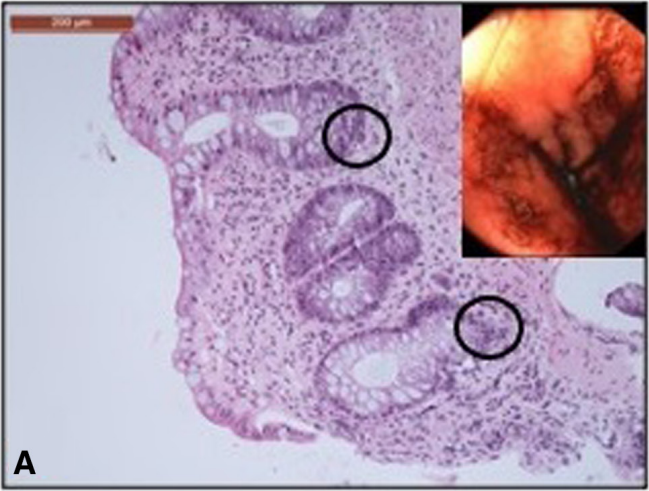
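This is colonic mucosa stained pink and purple, and its crypts are few, widely spaced and irregular in shape. Between them the lamina propria is crowded with small dark-nucleated cells. At the bases of some crypts the lining epithelium holds little clusters of dark, broken-up nuclear fragments, the look of dying epithelial cells. The goblet cells are fewer and the crypts less orderly than in healthy colon.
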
